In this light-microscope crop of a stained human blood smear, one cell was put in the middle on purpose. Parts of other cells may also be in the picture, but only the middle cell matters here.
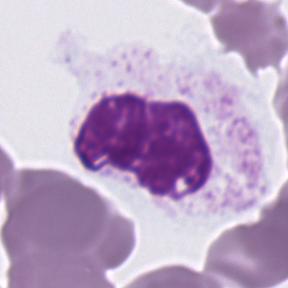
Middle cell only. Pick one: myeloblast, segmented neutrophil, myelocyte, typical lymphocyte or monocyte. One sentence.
Where the crop is centred, there is a segmented neutrophil.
